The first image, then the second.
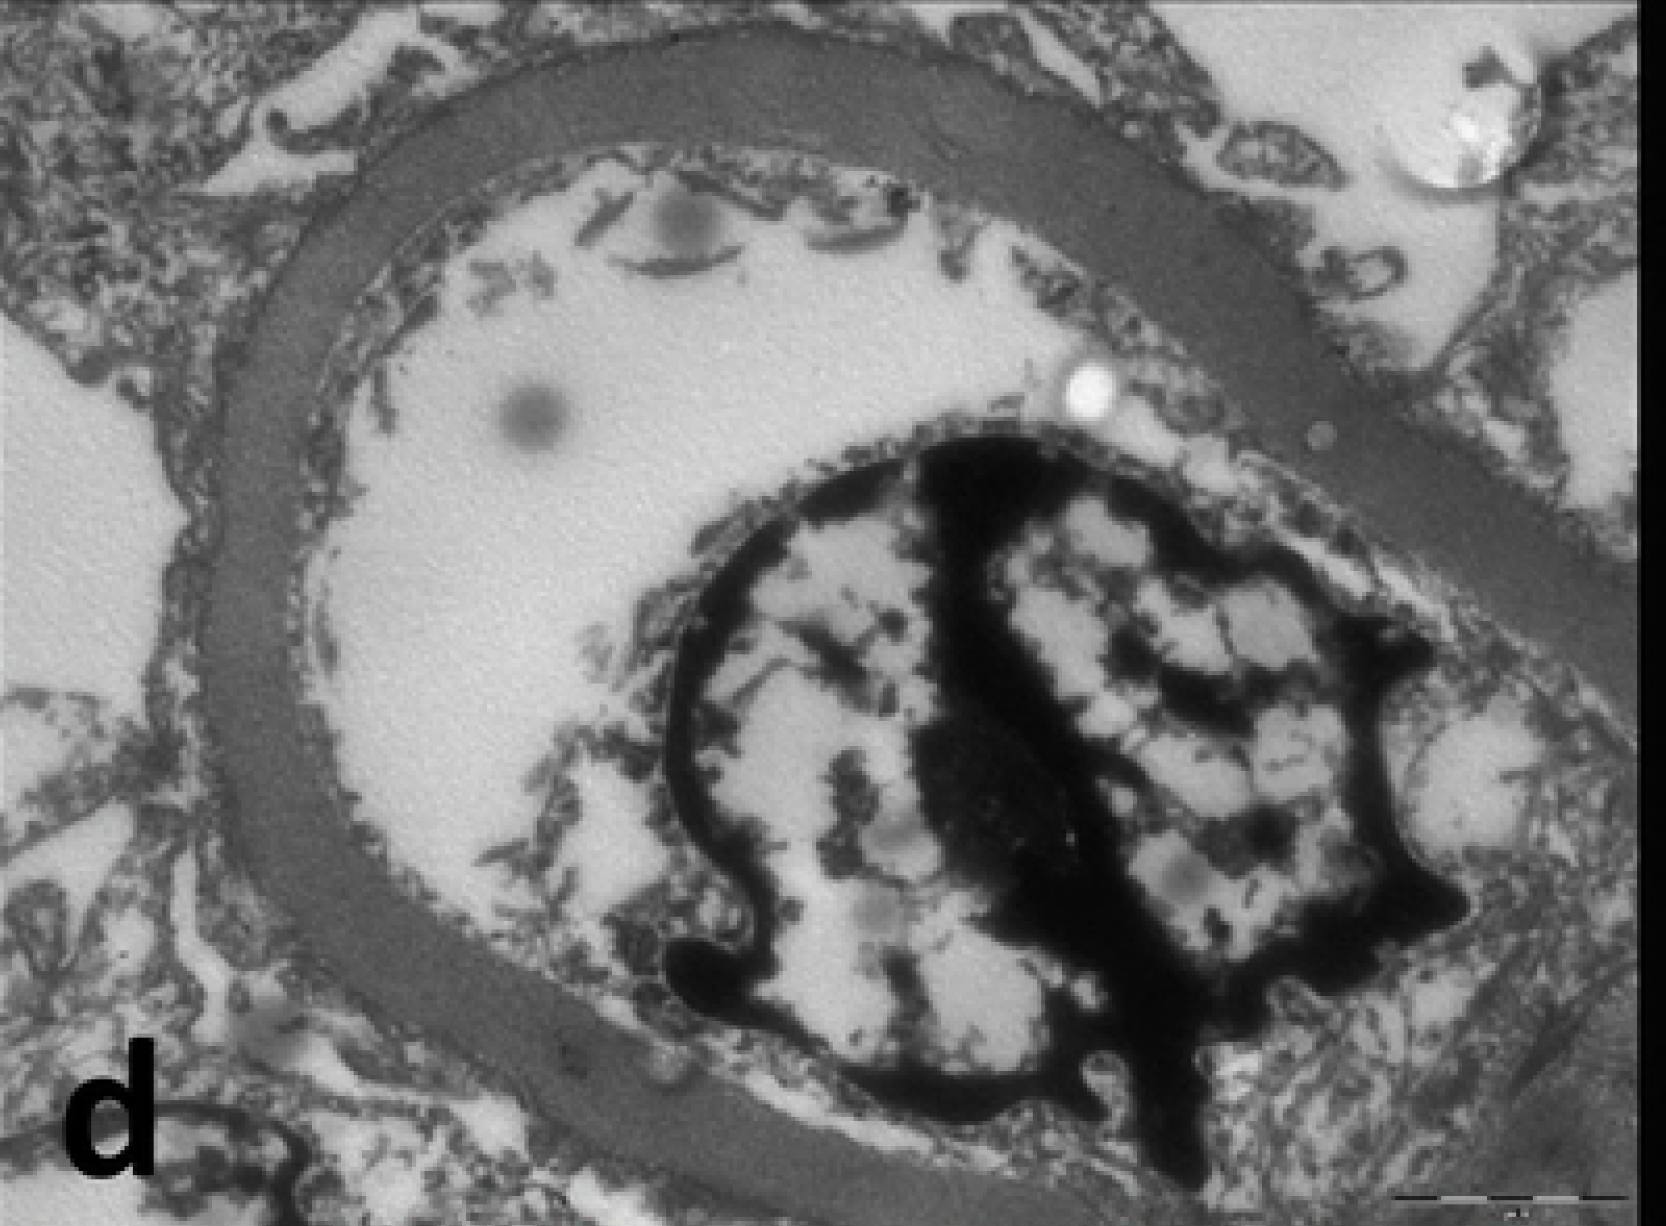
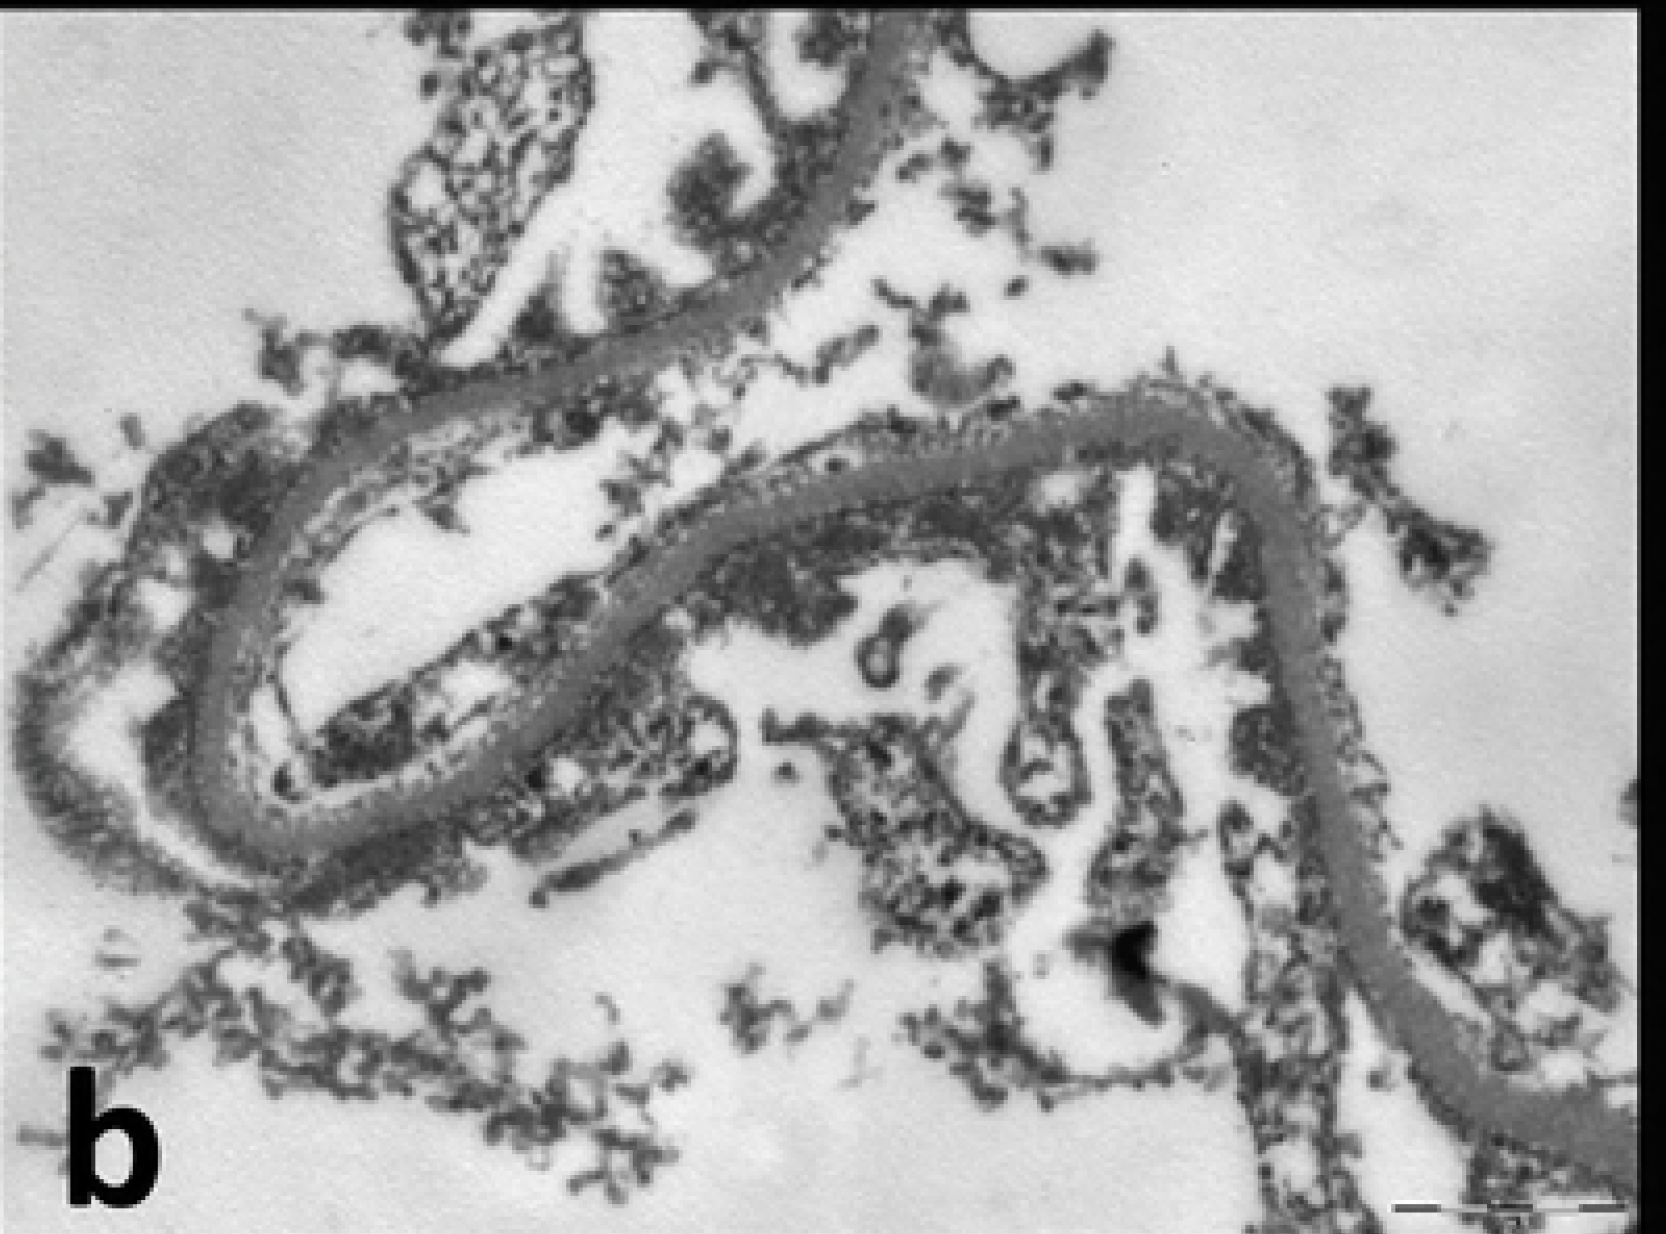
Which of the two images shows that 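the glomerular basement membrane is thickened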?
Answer: The first image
